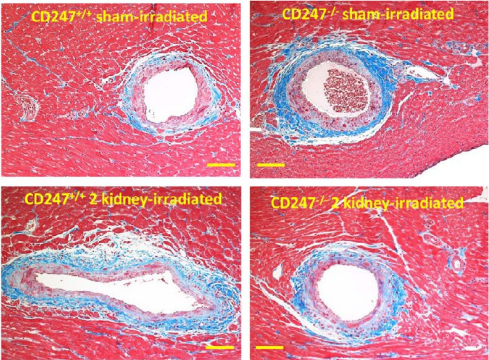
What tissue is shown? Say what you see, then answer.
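Heart. Fields of red-staining striated muscle fibres fill the background. A cross-sectioned blood vessel with a muscular wall lies in the middle of each field. Thin blue strands run between the muscle fibres.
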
